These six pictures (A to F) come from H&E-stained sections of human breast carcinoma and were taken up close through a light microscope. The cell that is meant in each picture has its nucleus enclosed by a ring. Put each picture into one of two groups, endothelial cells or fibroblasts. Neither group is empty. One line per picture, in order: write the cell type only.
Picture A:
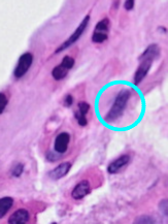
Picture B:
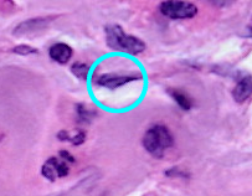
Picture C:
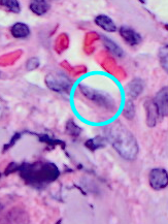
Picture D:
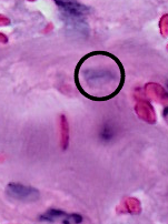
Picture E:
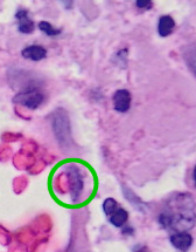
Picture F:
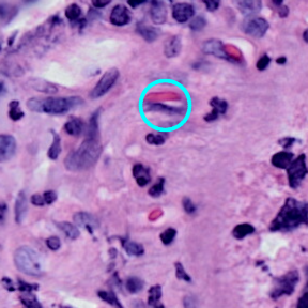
fibroblast
fibroblast
endothelial cell
fibroblast
endothelial cell
endothelial cell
